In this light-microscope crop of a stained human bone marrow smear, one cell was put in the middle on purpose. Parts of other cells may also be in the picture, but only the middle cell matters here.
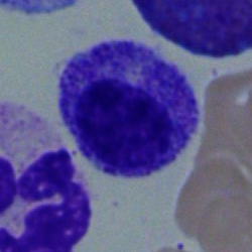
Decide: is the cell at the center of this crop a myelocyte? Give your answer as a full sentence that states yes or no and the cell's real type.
Yes, the central cell here is a myelocyte.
